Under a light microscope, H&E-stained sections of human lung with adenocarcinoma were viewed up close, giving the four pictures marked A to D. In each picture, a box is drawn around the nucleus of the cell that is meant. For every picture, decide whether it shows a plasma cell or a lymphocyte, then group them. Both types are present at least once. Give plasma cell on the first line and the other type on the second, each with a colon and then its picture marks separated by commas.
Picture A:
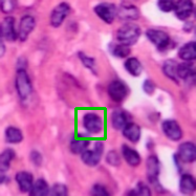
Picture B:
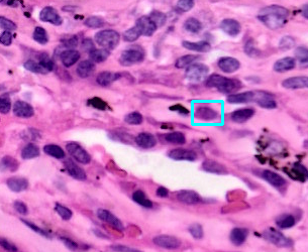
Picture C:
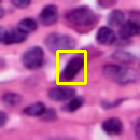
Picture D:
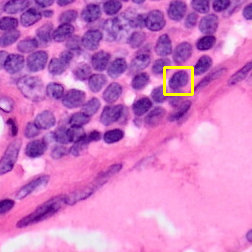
plasma cell: B, C
lymphocyte: A, D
